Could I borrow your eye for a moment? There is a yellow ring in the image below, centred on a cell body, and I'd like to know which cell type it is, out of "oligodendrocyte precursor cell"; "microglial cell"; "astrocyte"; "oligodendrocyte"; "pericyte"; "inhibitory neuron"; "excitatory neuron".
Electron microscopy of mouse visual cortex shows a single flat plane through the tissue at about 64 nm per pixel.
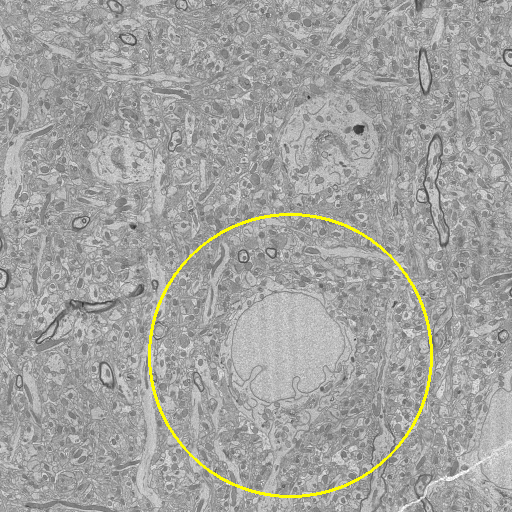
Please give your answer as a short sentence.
The cell body at the centre is that of an inhibitory neuron.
